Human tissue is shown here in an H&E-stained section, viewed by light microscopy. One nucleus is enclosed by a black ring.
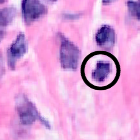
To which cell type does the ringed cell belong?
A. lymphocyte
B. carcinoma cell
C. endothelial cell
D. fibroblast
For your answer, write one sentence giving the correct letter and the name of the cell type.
Exactly as option A gives it, the ringed cell is a lymphocyte.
